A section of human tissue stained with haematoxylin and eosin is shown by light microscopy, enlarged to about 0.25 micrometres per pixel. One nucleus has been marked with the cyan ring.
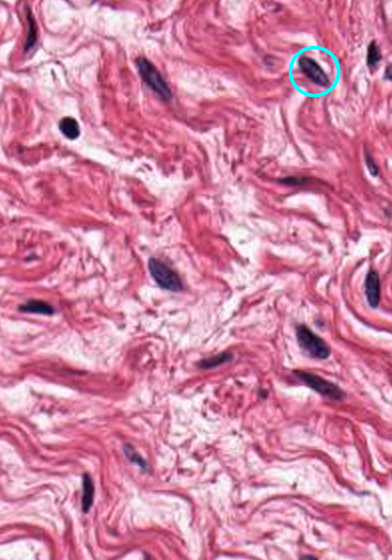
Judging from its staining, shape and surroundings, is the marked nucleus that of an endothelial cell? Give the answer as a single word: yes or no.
no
